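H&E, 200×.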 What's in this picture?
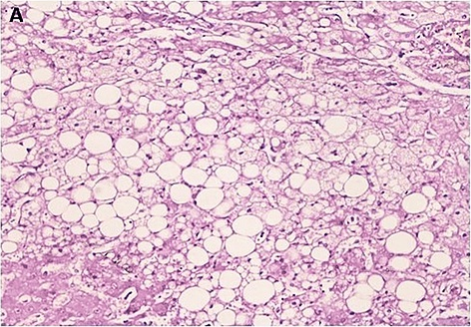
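This is liver in which most of the liver cells are distended by large round clear fat vacuoles. Smaller vacuoles are mixed among the large ones. The pink cytoplasm is squeezed into thin rims between the vacuoles, and denser pink, less fatty tissue is seen at the lower left.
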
